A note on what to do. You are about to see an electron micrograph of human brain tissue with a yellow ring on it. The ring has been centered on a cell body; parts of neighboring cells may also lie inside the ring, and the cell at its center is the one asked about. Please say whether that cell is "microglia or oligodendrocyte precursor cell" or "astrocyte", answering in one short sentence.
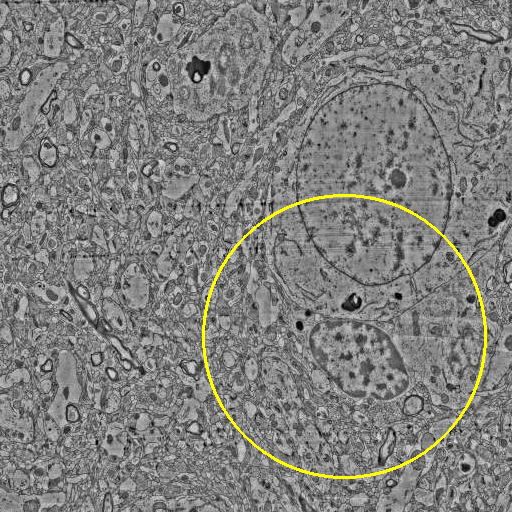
The yellow ring sits on a microglial cell or oligodendrocyte precursor cell.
